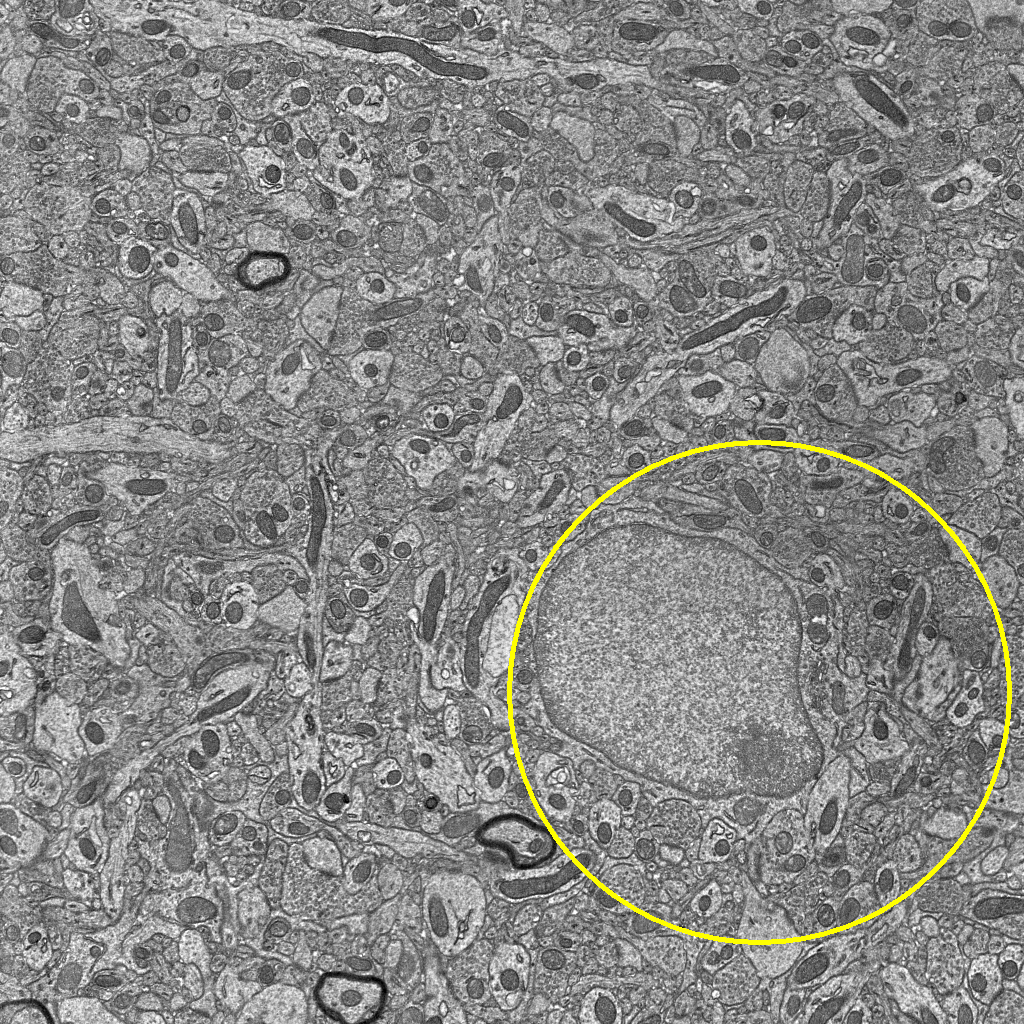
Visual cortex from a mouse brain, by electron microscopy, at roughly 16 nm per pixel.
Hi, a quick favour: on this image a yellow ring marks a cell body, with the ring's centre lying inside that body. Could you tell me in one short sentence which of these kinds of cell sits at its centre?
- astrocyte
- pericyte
The ring's centre lies in an astrocyte.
